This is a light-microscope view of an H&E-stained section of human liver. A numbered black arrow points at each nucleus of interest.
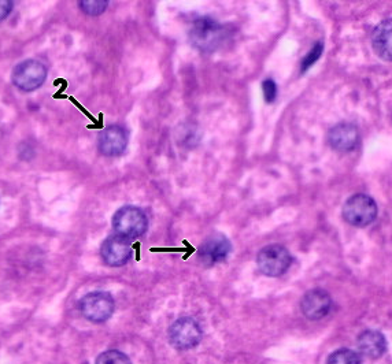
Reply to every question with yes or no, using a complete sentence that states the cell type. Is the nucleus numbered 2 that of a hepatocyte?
Yes, the cell corresponding to number 2 is a hepatocyte.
